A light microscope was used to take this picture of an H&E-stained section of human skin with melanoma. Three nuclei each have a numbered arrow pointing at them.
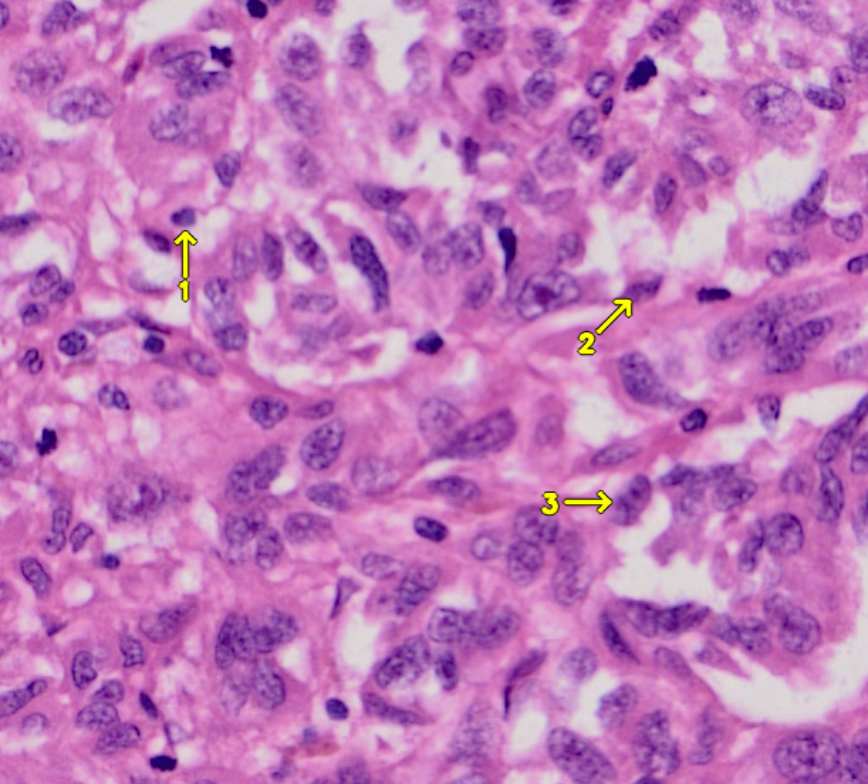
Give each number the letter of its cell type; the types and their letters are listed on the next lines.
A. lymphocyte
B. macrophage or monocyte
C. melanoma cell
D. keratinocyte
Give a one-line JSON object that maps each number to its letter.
{"1": "A", "2": "B", "3": "C"}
